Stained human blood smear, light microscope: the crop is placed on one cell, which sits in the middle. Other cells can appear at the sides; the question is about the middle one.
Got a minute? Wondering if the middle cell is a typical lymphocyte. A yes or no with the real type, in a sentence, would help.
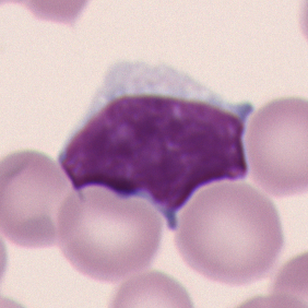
Yes, the cell in the middle is rightly called a typical lymphocyte.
